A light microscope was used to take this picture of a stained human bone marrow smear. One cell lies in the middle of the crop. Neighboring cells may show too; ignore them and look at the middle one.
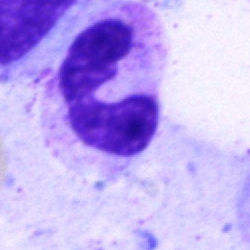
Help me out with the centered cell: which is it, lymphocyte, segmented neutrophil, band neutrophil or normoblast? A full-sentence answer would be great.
The cell in the middle of the field of view is a segmented neutrophil.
